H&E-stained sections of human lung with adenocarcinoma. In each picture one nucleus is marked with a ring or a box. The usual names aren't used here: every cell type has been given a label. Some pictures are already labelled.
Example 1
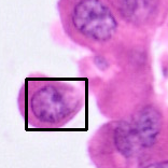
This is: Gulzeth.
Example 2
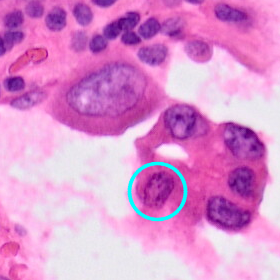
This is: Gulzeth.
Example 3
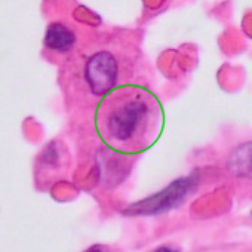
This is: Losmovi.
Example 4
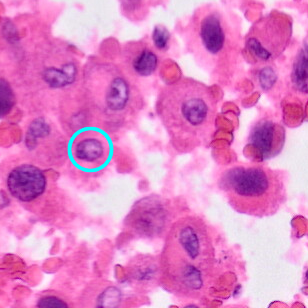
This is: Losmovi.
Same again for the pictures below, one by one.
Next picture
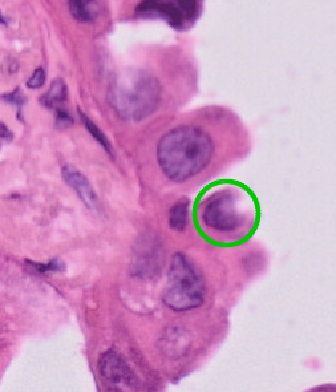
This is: Gulzeth.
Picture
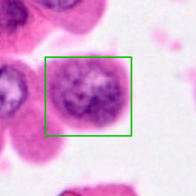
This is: Gulzeth.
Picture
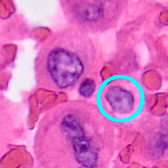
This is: Losmovi.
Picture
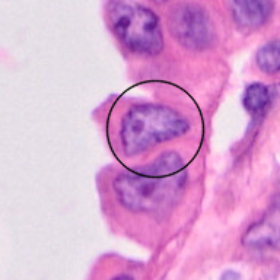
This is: Gulzeth.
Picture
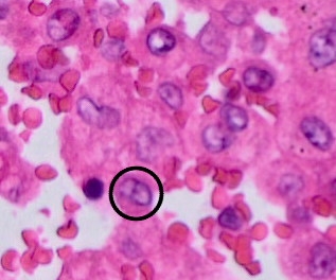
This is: Losmovi.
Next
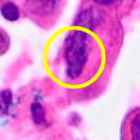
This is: Gulzeth.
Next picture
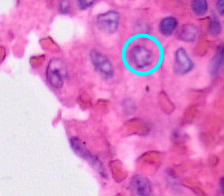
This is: Losmovi.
